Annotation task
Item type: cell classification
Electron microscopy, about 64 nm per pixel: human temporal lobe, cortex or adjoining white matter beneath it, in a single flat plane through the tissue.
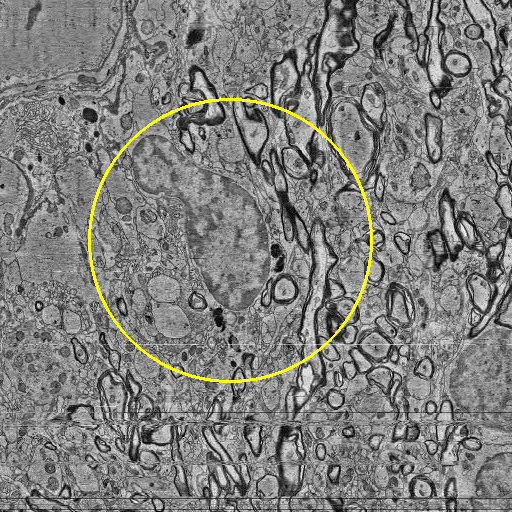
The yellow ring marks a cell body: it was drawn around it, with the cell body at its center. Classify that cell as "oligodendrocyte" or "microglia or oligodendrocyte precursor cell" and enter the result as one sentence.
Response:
The ring's center falls on a microglial cell or oligodendrocyte precursor cell.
